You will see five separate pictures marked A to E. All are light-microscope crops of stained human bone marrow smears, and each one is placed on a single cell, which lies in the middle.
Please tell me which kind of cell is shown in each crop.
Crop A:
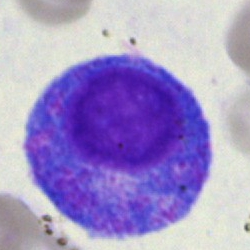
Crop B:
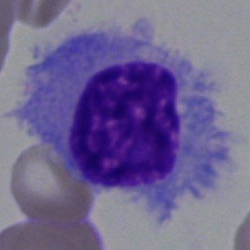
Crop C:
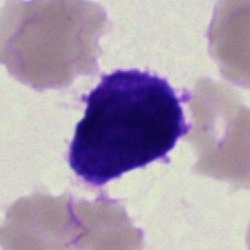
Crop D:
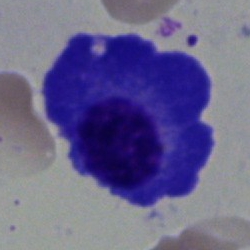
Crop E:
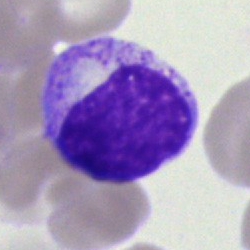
A: promyelocyte
B: hairy cell
C: blast
D: plasma cell
E: myelocyte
